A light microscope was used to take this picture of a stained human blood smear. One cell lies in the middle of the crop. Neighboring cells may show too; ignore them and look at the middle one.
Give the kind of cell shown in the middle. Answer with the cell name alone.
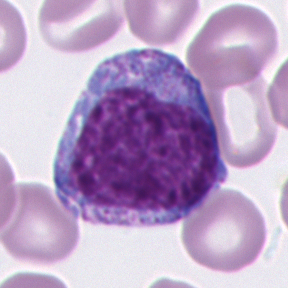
promyelocyte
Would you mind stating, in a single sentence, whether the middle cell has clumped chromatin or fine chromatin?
The chromatin pattern here is coarse and clumped.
